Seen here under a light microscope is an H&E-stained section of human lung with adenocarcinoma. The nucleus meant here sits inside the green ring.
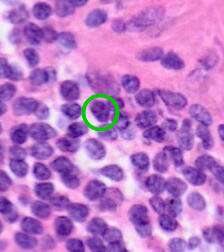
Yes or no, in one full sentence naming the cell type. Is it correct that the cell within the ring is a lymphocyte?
Yes, it holds that the cell within the ring is a lymphocyte.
